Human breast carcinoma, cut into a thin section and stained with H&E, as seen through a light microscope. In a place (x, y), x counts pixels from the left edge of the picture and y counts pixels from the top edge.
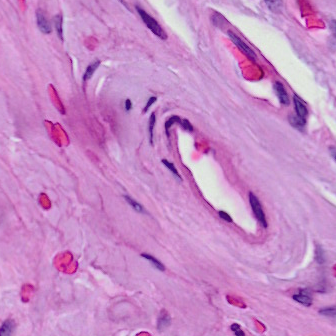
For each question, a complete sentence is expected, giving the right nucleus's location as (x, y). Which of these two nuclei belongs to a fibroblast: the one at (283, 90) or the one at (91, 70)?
The nucleus at (91, 70) is assigned to a fibroblast.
